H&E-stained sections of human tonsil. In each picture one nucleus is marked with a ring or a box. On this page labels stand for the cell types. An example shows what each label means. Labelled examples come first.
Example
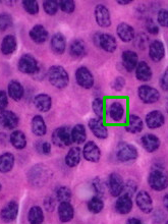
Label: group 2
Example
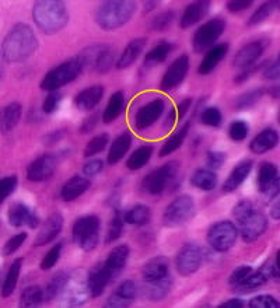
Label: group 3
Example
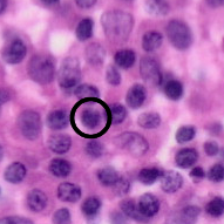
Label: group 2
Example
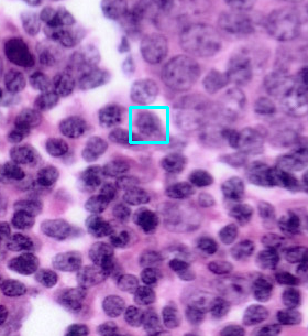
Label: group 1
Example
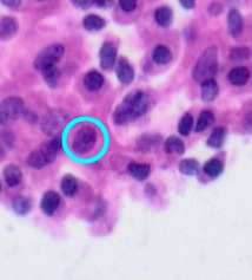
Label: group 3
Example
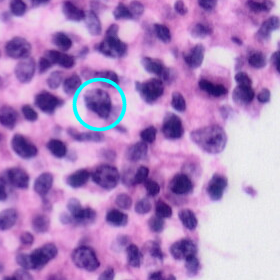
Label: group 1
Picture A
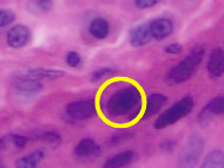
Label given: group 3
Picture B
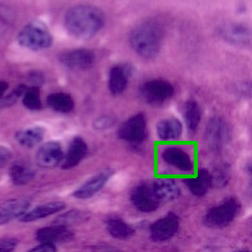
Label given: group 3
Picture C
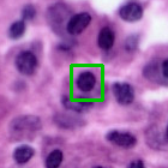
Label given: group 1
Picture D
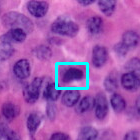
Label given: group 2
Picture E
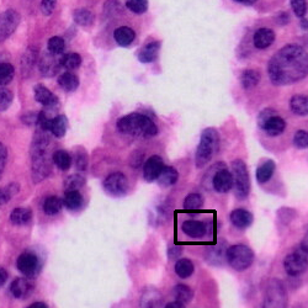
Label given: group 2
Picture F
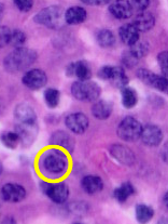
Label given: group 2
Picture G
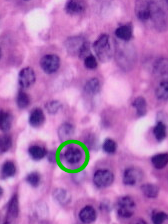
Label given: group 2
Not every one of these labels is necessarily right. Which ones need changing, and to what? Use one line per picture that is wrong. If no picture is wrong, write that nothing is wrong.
C: change group 1 to group 2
